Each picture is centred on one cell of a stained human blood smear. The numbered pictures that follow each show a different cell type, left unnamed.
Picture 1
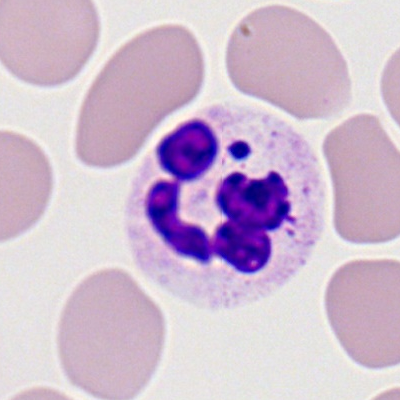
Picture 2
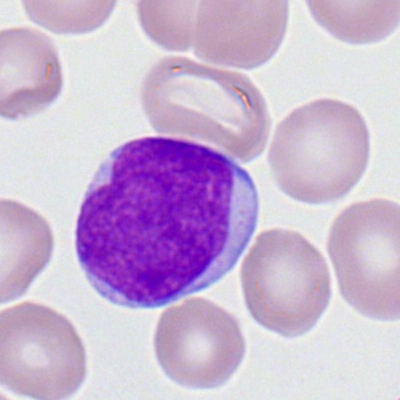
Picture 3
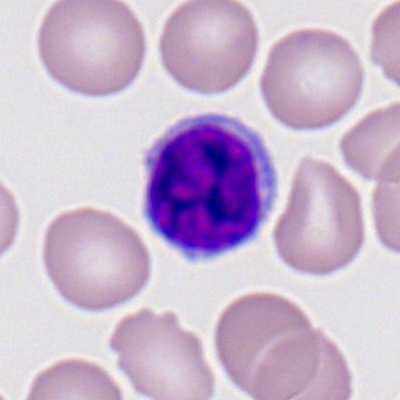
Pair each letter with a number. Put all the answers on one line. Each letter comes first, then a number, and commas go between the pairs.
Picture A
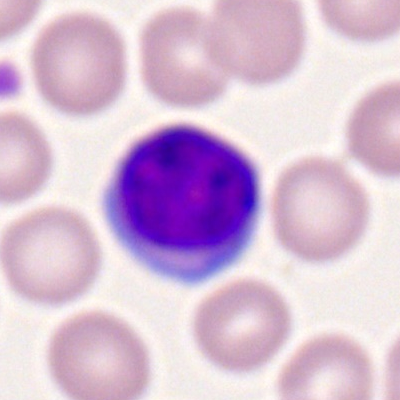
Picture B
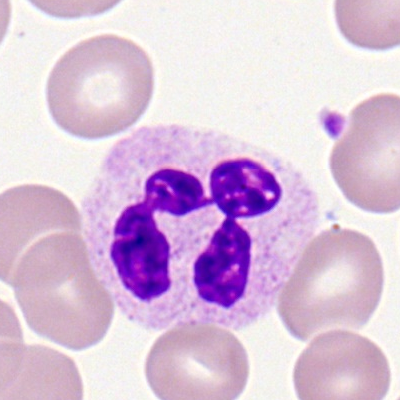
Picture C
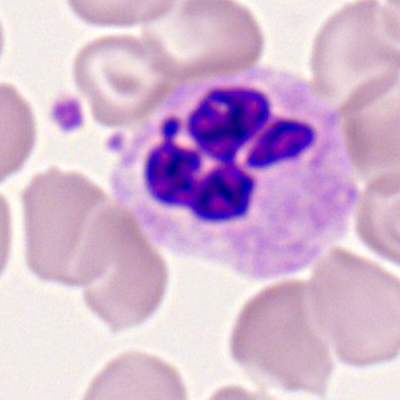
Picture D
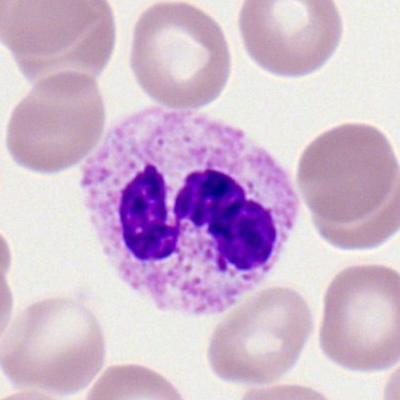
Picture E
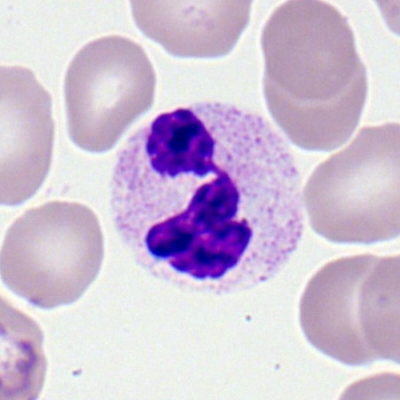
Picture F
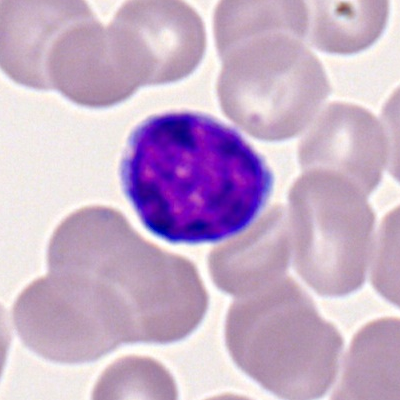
A 3, B 1, C 1, D 1, E 1, F 3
